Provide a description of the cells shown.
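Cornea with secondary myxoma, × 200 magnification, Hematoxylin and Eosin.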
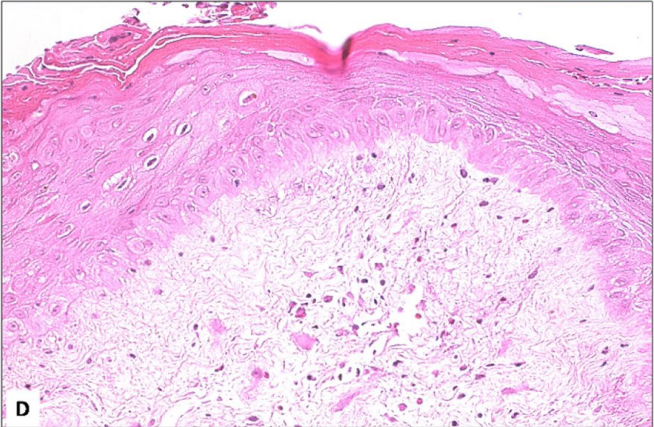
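The epithelium is thickened and stratified, with larger pale cells in its middle layers and a compact pink keratin layer on the surface. Below it lies loose, pale, finely fibrillar stroma. Sparse cells with small purple nuclei are scattered through this loose stroma.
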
